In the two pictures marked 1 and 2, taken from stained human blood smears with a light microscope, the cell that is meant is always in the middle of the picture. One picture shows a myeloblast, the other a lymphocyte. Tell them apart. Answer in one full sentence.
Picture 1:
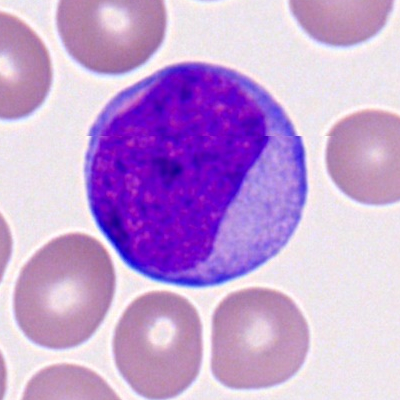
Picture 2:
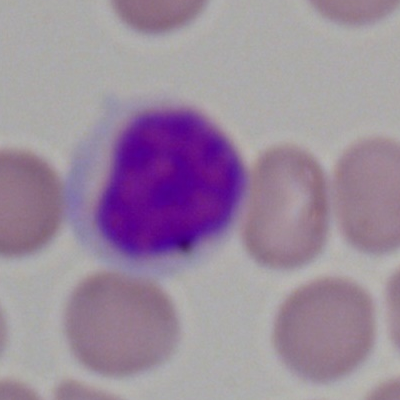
It is picture 1 that shows a myeloblast, and picture 2 that shows a lymphocyte.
